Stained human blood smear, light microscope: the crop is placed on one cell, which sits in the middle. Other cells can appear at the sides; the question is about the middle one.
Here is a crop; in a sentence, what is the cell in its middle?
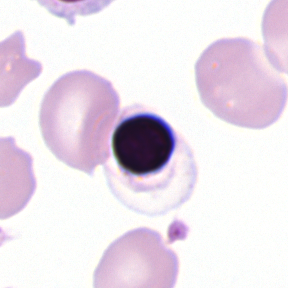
In the middle of this smear crop, the cell is a normoblast.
